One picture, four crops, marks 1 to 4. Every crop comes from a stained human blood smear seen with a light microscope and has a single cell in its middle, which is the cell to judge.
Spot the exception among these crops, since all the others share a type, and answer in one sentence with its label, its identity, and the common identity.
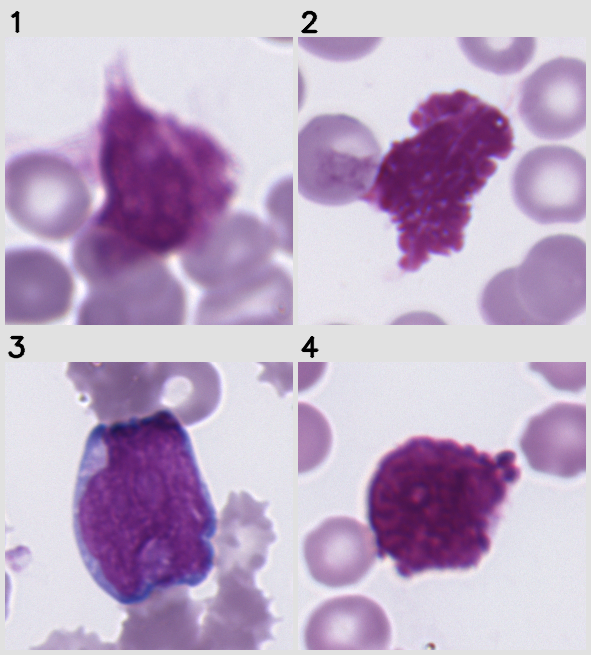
Among these crops, smudge cells occur in all but crop 3, which contains a myeloblast.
